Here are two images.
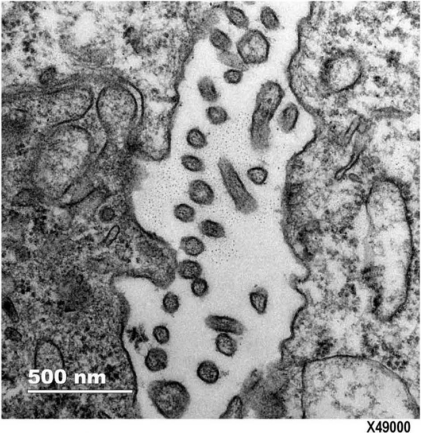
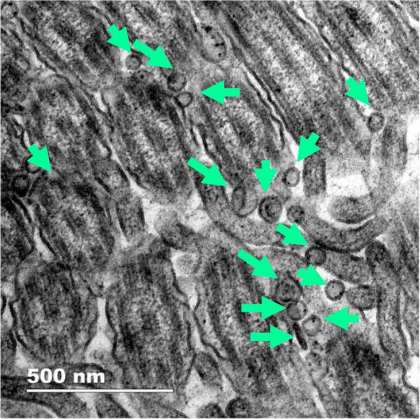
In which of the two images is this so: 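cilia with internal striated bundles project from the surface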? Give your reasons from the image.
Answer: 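First image: only slender projections and small round profiles without internal striations.
Conclusion: the second image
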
